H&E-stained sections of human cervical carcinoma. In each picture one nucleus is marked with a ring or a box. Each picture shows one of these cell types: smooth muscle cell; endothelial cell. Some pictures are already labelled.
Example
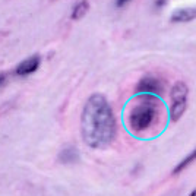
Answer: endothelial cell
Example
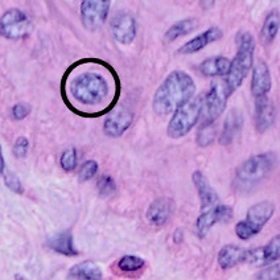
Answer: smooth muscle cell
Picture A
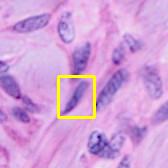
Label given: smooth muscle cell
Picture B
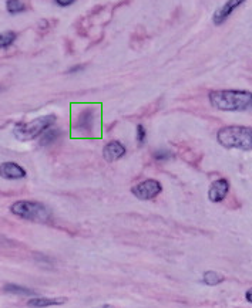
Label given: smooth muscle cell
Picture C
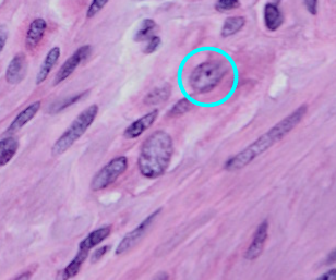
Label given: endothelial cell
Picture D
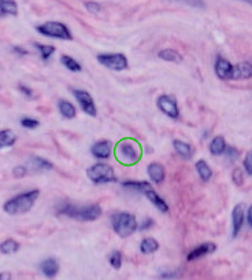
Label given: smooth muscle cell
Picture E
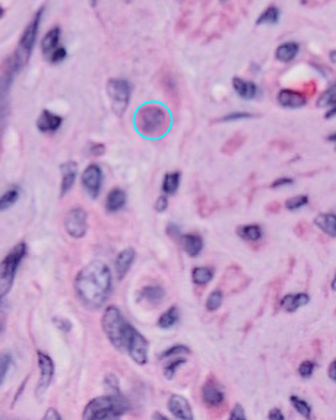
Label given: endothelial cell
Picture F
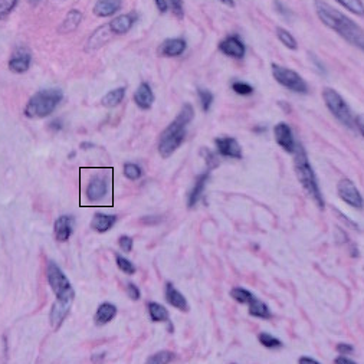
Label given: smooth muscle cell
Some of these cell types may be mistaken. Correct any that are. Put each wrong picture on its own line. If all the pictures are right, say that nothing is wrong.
E is labelled endothelial cell; correct label: smooth muscle cell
